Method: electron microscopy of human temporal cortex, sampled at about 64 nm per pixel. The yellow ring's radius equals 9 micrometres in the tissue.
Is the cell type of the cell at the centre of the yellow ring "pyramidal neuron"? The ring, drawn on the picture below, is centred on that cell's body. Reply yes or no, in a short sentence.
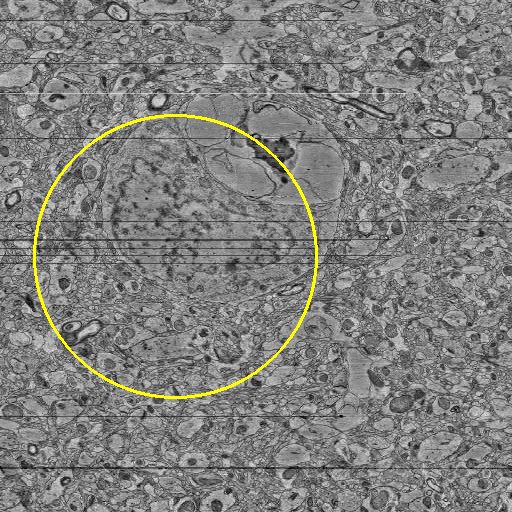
No, its cell type is another.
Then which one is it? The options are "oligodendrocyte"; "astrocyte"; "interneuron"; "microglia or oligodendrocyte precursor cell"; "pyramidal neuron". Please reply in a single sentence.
The cell at the middle of the ring is an interneuron.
